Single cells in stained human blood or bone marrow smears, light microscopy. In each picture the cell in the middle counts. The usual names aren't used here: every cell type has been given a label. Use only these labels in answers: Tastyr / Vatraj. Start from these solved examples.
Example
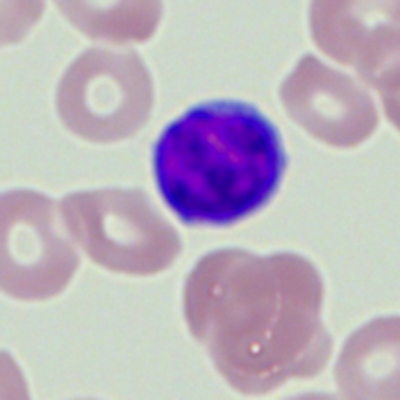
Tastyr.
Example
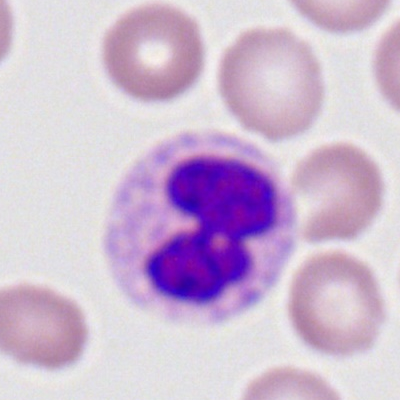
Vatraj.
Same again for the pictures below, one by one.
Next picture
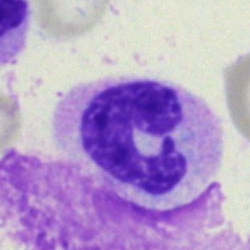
Vatraj.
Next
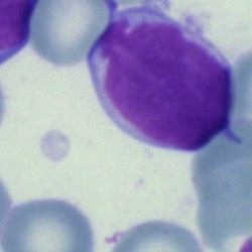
Tastyr.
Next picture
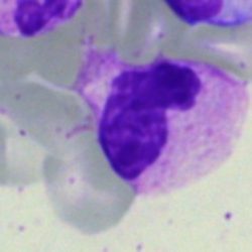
Vatraj.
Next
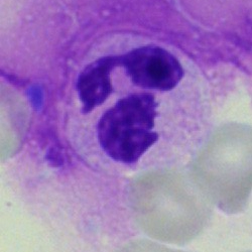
Vatraj.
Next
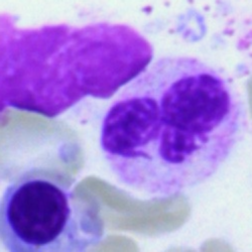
Vatraj.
